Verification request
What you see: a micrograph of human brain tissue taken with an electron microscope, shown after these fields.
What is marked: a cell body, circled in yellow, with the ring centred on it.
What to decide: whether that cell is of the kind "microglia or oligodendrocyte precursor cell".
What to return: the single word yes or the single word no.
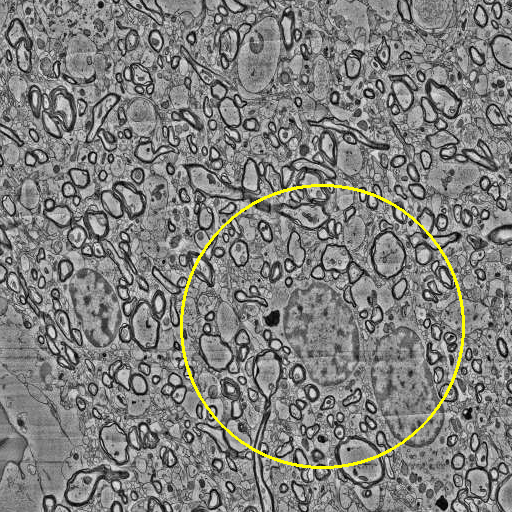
no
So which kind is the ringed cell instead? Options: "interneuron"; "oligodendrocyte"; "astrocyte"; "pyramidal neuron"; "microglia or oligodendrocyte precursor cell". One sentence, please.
Here, the ring is centred on an oligodendrocyte instead.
